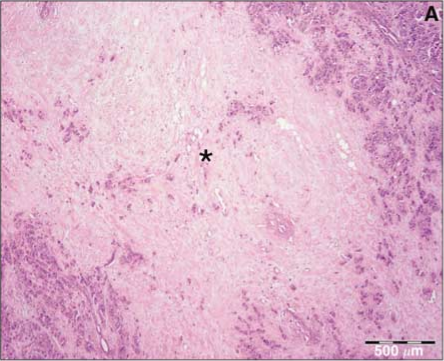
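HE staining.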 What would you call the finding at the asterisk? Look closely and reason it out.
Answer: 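The asterisk lies in a broad pale pink area with few nuclei. Dense purple tumour tissue surrounds this pale area.
Fibrotic focus.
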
